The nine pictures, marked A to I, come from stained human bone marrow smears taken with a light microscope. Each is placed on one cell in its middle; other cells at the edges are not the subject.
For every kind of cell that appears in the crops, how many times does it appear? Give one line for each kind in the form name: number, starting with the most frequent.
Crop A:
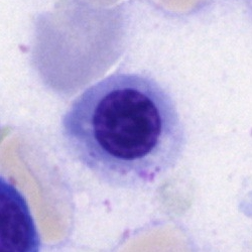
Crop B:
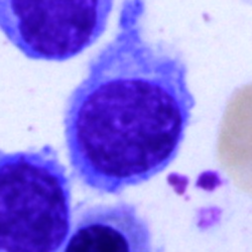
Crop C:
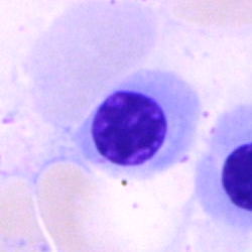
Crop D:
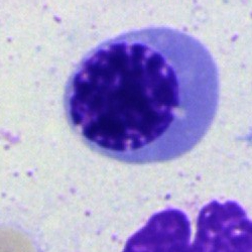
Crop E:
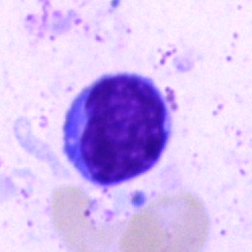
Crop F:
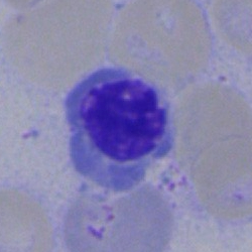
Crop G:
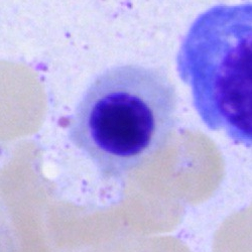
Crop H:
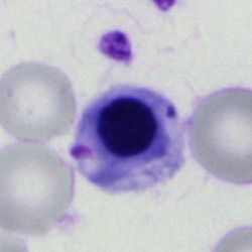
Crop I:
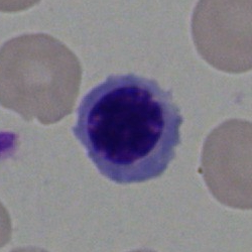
normoblast: 7
lymphocyte: 2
